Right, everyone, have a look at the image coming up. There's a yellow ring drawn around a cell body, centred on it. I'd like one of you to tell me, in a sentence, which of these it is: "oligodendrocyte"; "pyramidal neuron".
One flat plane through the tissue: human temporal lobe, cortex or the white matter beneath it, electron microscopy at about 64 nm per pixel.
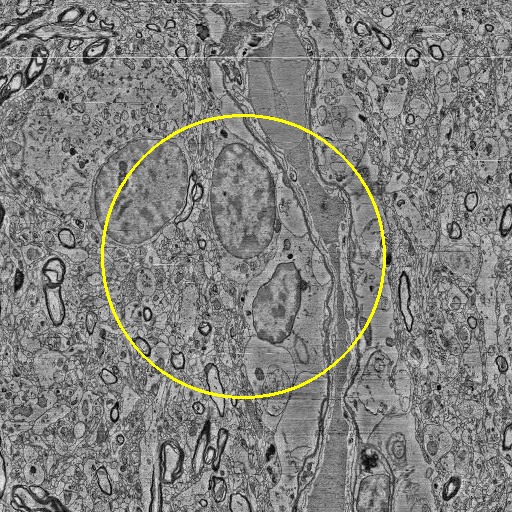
The yellow ring sits on an oligodendrocyte.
